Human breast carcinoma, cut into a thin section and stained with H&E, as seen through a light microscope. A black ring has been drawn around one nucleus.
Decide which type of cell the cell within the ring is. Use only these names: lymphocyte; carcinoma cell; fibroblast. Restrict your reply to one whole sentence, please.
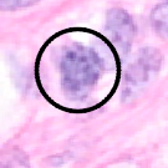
In terms of identity, the cell within the ring is a carcinoma cell.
